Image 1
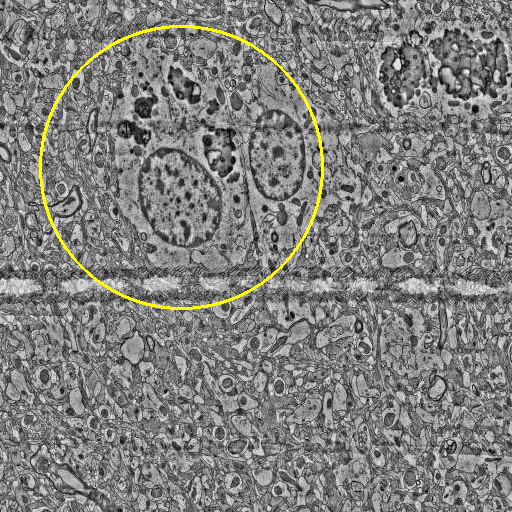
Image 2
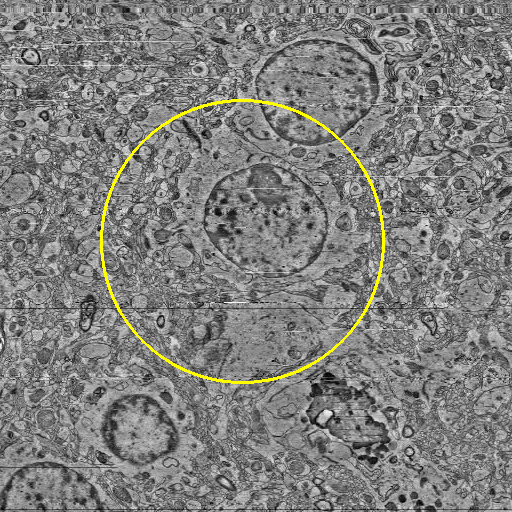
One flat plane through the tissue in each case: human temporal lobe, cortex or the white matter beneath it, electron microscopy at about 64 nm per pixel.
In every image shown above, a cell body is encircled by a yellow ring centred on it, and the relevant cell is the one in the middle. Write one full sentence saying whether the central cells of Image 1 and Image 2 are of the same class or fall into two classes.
The cell at the ring's centre in Image 1 and its counterpart in Image 2 are of the same class.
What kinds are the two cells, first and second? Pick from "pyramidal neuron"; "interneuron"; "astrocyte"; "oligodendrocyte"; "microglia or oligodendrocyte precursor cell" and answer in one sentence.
Each of the two rings surrounds an astrocyte.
